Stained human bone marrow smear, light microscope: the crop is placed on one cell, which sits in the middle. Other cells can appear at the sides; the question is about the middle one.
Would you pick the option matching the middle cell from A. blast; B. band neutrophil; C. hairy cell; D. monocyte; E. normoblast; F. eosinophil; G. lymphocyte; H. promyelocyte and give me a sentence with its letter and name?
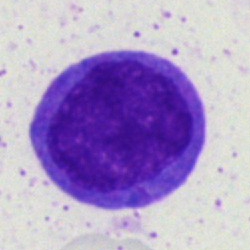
The middle cell of the crop is a blast; accordingly, option A is correct.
